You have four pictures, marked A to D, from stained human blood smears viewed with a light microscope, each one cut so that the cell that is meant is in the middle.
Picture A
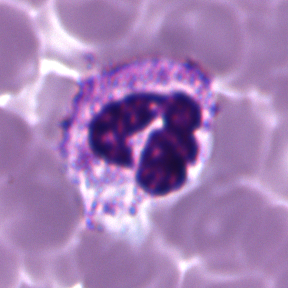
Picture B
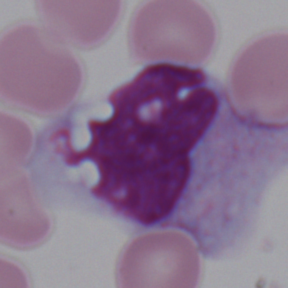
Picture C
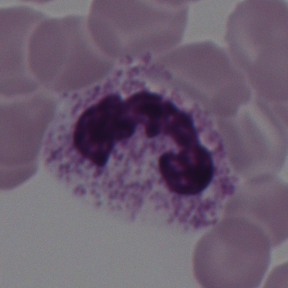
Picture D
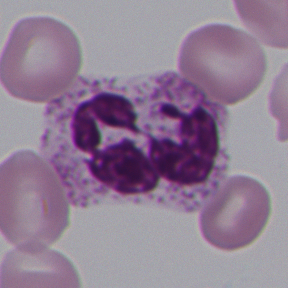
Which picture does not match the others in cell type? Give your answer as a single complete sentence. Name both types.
All pictures except B show segmented neutrophils; picture B shows a monocyte.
